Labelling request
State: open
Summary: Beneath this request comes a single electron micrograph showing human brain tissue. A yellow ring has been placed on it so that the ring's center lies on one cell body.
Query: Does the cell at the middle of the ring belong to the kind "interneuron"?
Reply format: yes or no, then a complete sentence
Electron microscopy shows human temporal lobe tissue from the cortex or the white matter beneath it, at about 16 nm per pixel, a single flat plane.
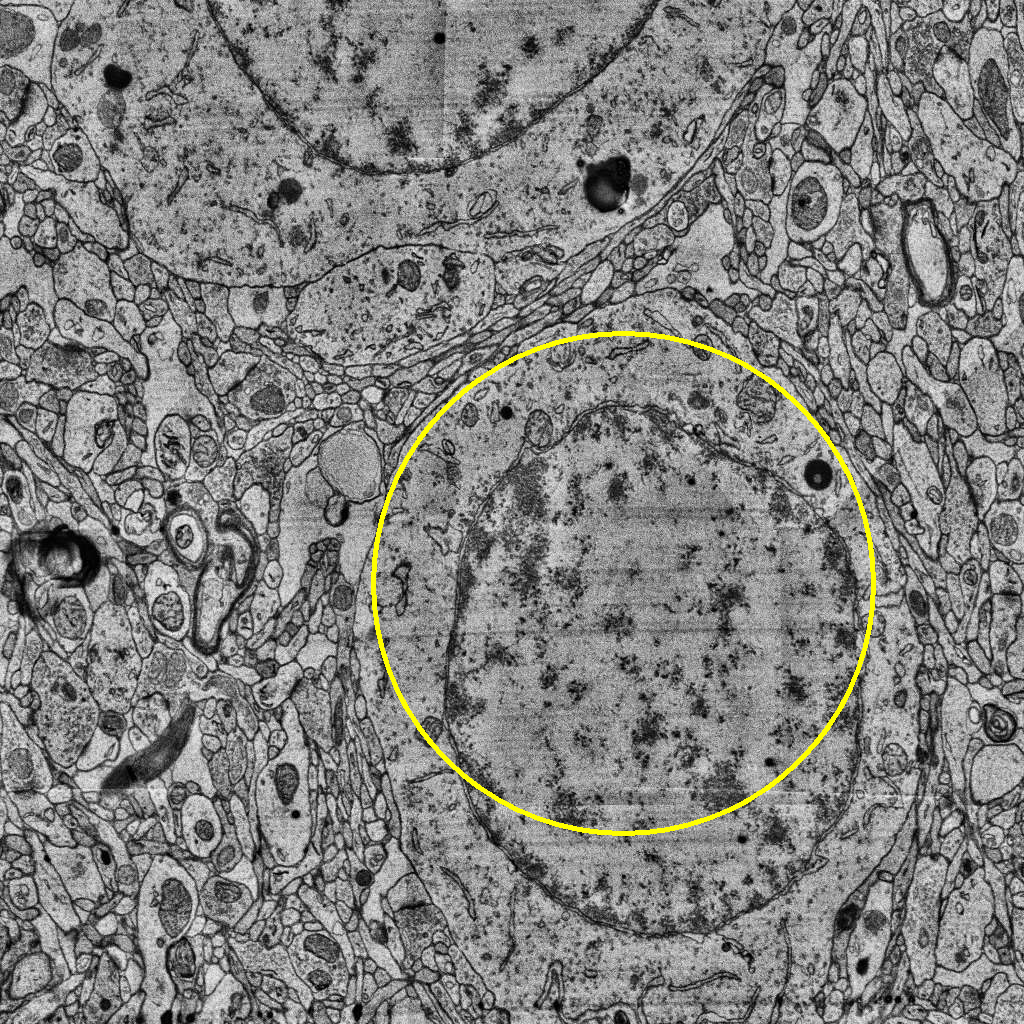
No, the cell sitting at the center of the ring in this picture is of a different kind.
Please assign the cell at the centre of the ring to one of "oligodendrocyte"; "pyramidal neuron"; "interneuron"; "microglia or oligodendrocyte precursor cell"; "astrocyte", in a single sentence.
So the cell at the centre is a pyramidal neuron.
